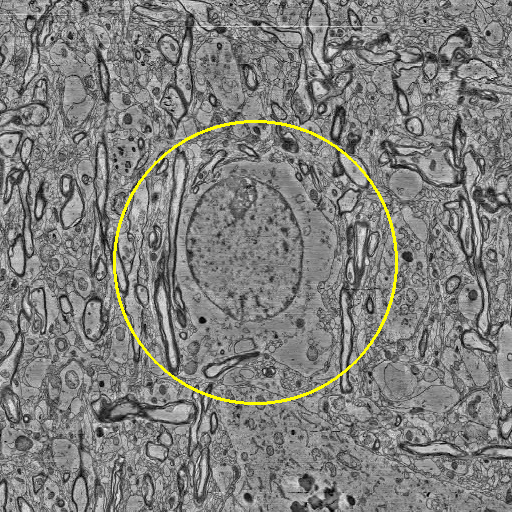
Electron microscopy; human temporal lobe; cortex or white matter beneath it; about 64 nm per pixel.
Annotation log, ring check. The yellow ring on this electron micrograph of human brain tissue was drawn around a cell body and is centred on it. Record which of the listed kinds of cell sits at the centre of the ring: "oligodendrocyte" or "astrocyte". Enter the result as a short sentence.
The cell at the centre of the ring is an astrocyte.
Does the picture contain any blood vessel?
No, no blood vessel shows in the picture.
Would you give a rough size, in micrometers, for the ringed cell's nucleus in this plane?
In this plane, the nucleus of the cell at the centre of the ring measures about 10 by 7 micrometres.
